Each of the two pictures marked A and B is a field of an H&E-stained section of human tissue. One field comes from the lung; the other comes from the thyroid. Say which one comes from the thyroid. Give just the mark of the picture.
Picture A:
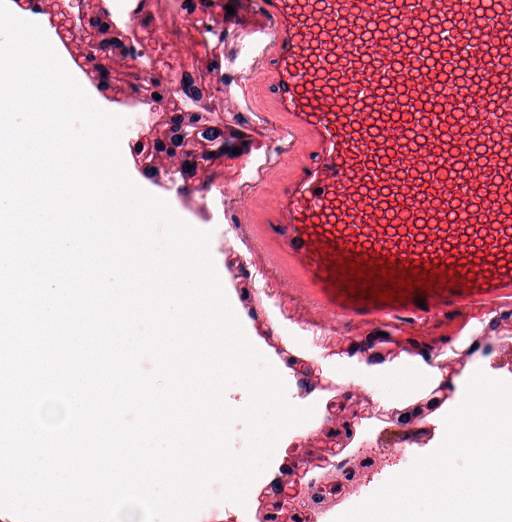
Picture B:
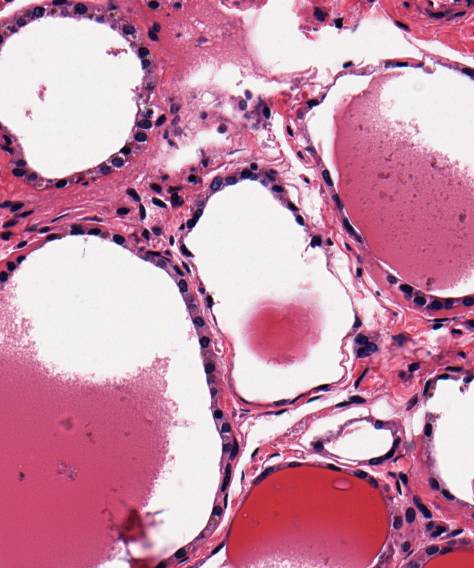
B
